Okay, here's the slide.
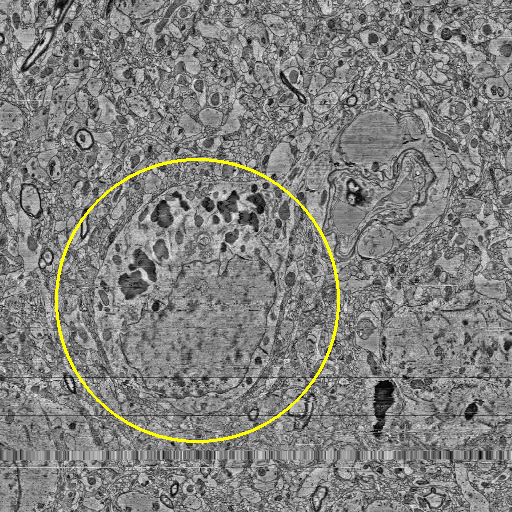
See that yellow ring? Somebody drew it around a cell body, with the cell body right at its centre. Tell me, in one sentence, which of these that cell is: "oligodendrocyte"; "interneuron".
The cell in the middle of the ring is an interneuron.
